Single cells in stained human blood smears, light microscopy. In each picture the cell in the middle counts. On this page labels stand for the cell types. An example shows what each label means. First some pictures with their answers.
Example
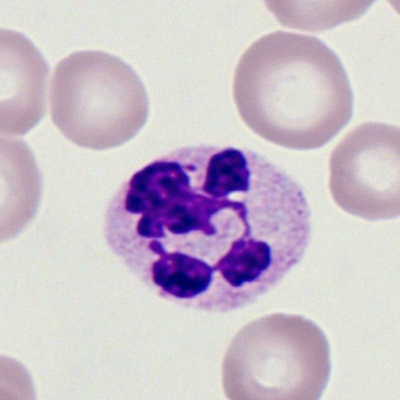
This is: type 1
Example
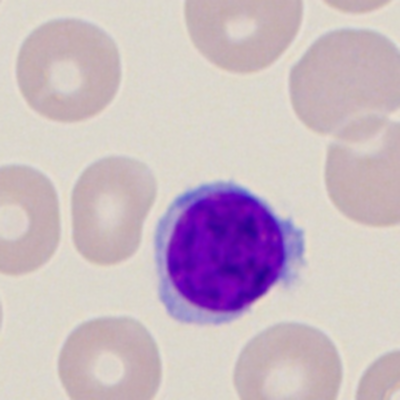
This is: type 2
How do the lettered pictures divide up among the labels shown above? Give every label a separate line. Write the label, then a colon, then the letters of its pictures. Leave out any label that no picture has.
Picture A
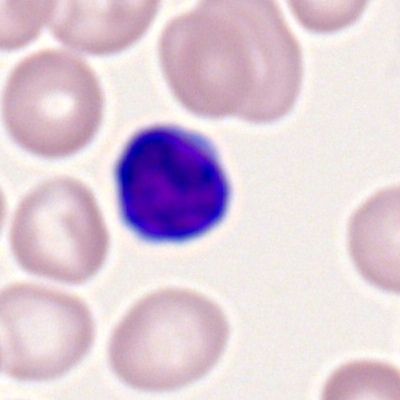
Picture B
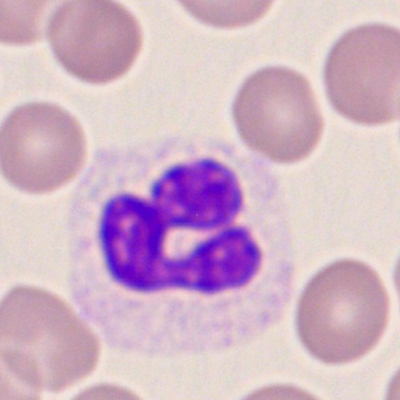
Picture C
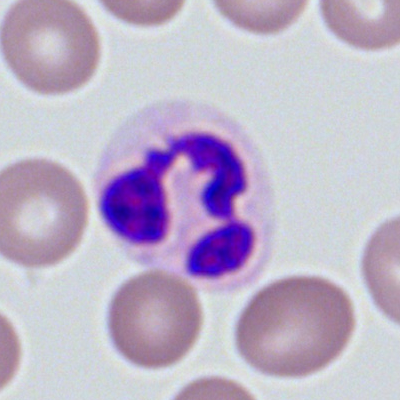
type 1: B, C
type 2: A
